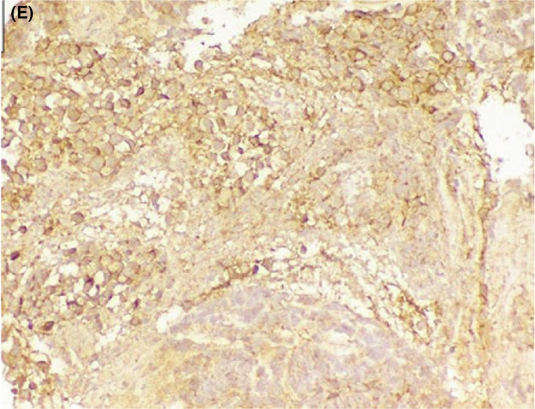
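This is a section of densely cellular tissue in which many rounded cells are crowded into sheets and nests. Many cells show a brown rim at their outer border, which outlines them like small rings. Between the cell groups lie paler, looser areas of stroma with fewer cells. In the lower part, a more compact and more weakly stained band of cells runs across the field.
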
